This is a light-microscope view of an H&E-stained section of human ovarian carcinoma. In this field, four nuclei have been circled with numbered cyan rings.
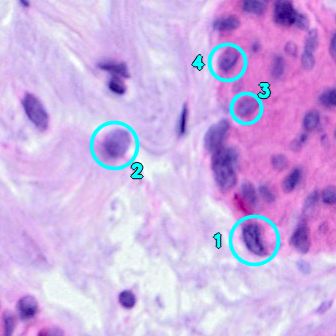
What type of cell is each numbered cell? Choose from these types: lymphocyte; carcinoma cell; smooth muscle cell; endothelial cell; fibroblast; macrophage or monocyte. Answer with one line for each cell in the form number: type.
1: endothelial cell
2: fibroblast
3: smooth muscle cell
4: smooth muscle cell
